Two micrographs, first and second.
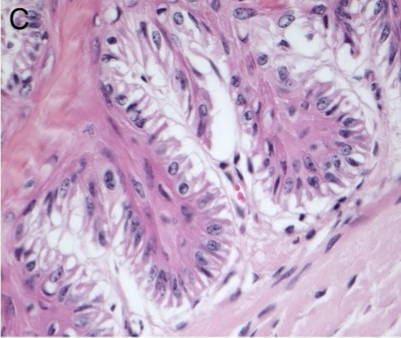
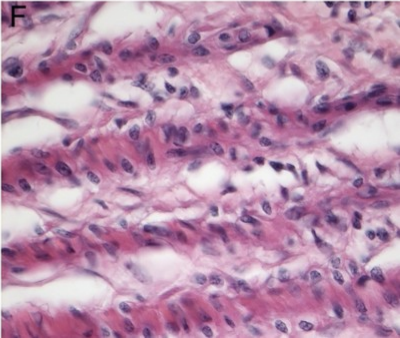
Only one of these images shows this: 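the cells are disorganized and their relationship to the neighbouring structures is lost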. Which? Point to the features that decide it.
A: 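Second image: elongated dark nuclei lie in irregular bands separated by clear spaces and wispy material, with no orderly palisade along a basement membrane. First image: columnar cells with oval nuclei line up in an orderly row along each epithelial fold, beside a distinct pink central axis.
Conclusion: the second image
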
